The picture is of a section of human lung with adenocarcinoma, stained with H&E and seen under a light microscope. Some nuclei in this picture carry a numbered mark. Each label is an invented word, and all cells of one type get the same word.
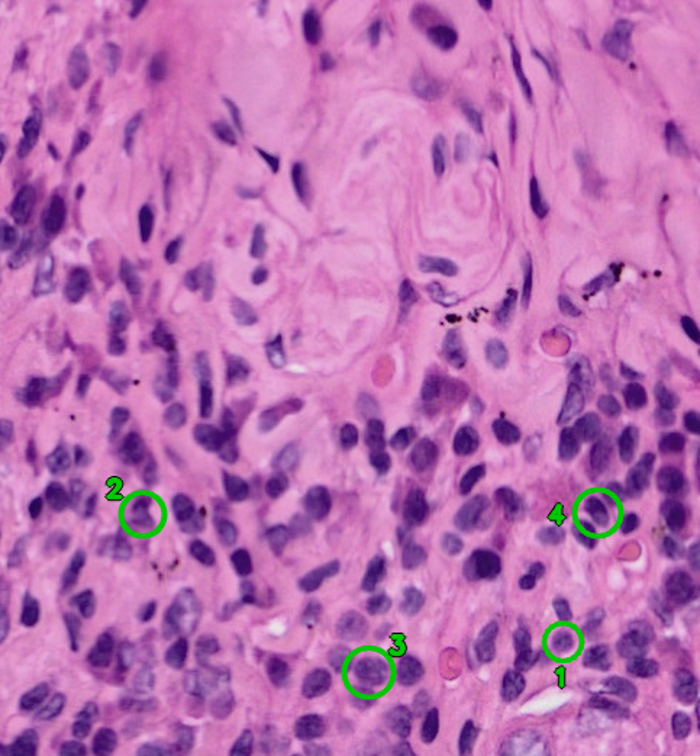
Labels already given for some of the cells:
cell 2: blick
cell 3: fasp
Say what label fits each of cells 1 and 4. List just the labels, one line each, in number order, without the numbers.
fasp
fasp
